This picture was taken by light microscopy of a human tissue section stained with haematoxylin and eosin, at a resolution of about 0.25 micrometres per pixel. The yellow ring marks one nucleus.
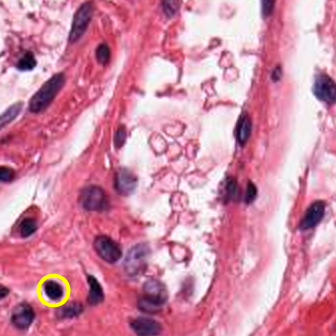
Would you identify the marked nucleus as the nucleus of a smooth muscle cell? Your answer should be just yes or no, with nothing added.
no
